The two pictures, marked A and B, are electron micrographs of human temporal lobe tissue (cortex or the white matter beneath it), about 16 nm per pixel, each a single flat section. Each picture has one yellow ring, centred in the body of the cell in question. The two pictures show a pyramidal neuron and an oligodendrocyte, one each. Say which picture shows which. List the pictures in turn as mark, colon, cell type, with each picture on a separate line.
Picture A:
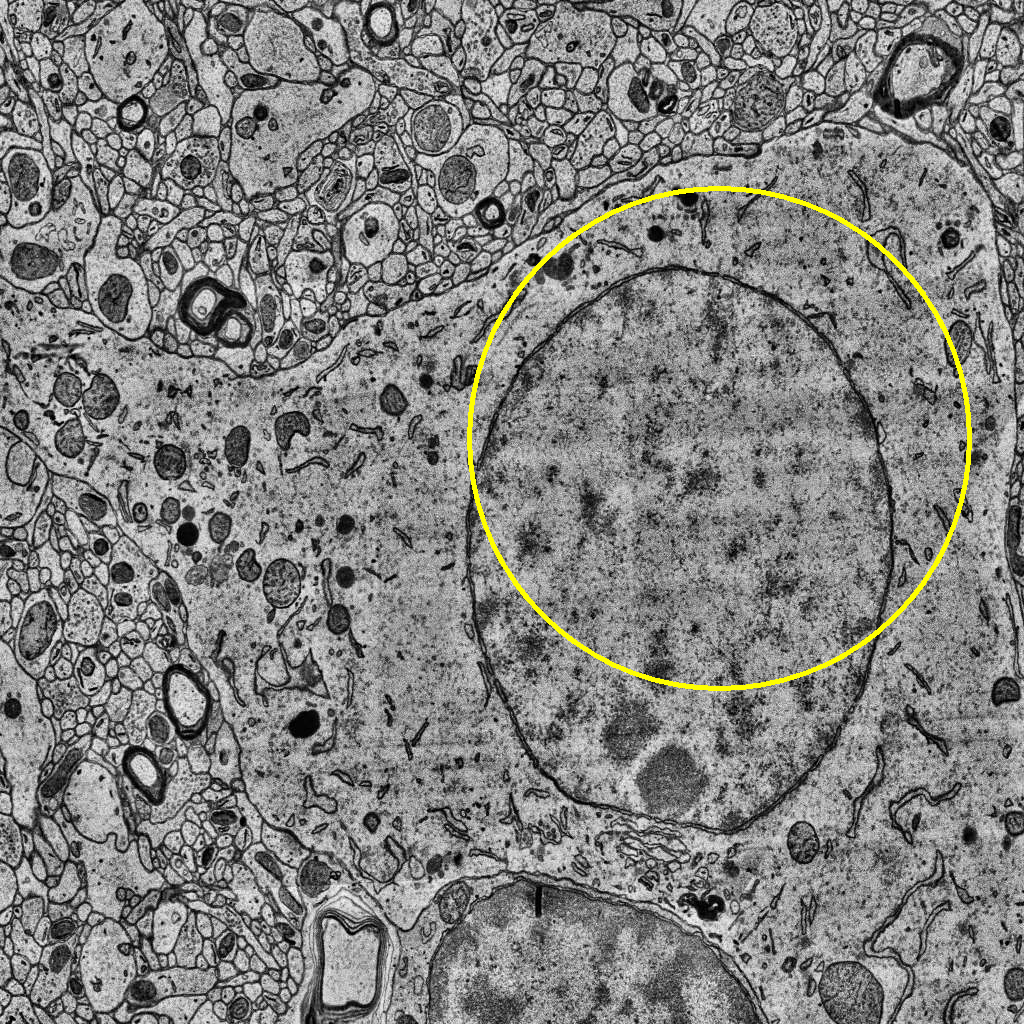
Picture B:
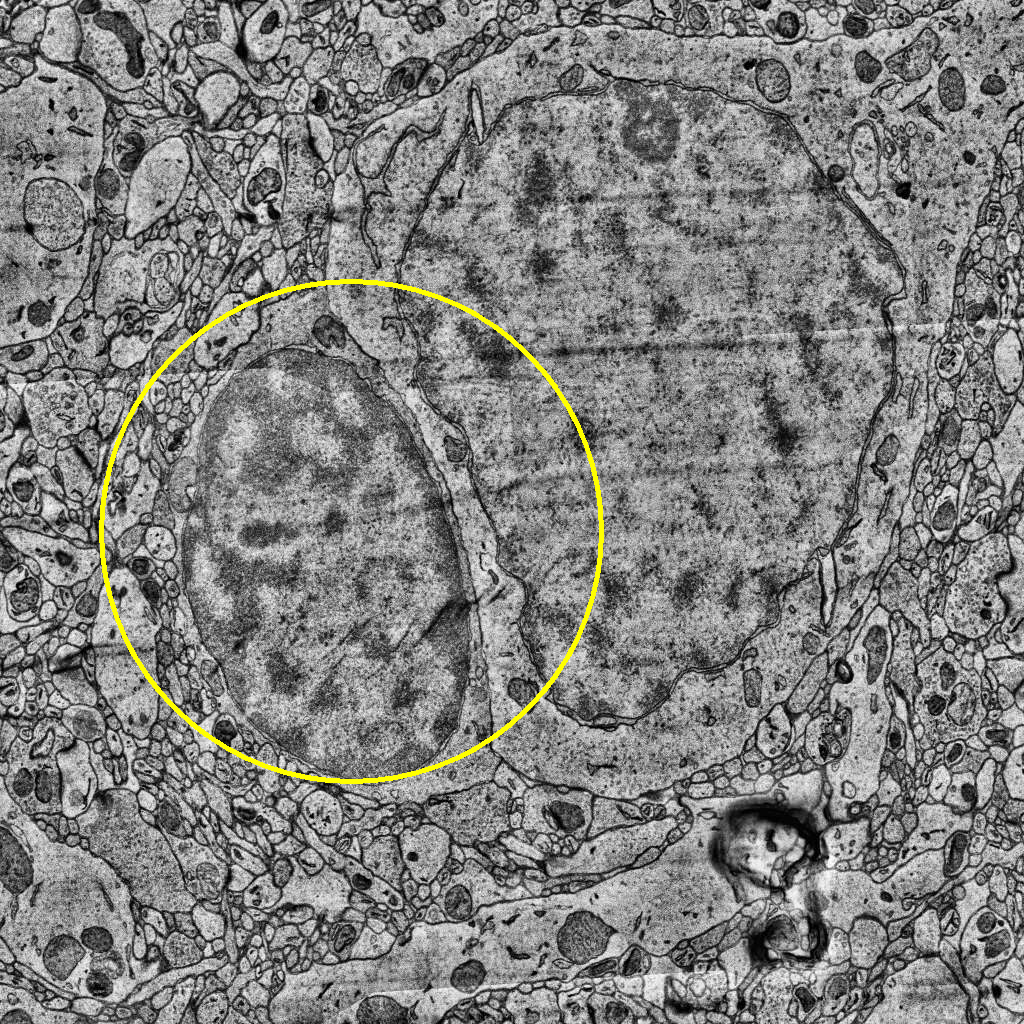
A: pyramidal neuron
B: oligodendrocyte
